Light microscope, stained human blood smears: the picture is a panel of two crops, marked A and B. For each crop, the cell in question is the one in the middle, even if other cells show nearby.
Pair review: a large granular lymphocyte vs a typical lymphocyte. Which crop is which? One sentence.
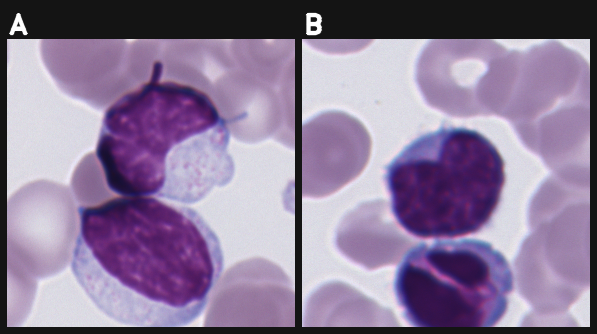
The centred cell is a large granular lymphocyte in crop A and a typical lymphocyte in crop B.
